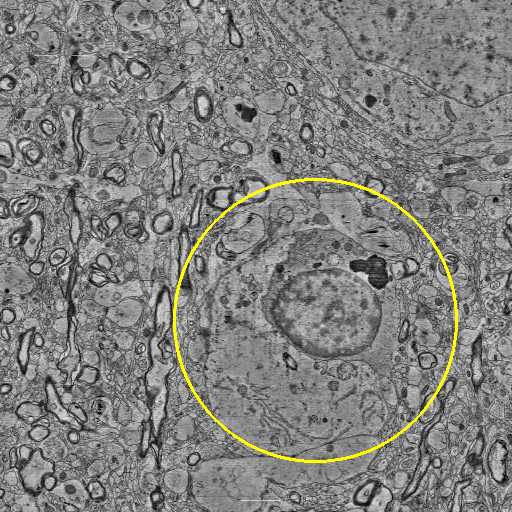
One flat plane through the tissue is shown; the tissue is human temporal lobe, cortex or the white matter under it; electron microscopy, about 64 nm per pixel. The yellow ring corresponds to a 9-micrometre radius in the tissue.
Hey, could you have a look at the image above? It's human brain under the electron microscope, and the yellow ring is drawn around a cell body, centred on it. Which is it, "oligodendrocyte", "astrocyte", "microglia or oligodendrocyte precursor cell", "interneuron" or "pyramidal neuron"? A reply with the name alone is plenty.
oligodendrocyte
